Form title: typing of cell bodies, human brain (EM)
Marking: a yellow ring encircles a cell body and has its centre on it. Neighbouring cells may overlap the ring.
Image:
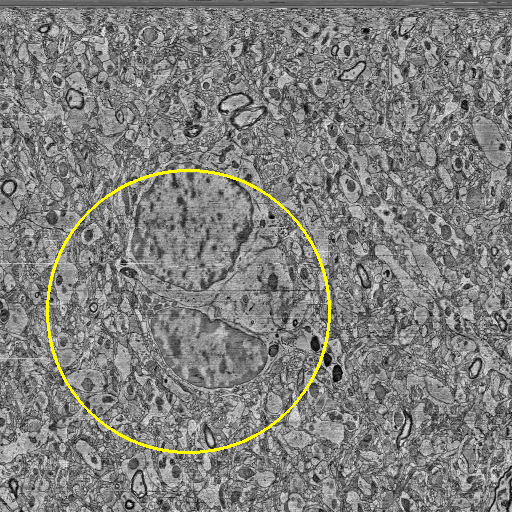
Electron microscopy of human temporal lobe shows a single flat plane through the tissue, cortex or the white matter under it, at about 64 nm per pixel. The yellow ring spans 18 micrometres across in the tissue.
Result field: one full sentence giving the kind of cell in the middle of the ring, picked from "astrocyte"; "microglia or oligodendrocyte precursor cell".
In the picture, the ring is centred on a microglial cell or oligodendrocyte precursor cell, whose cell body it encircles.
